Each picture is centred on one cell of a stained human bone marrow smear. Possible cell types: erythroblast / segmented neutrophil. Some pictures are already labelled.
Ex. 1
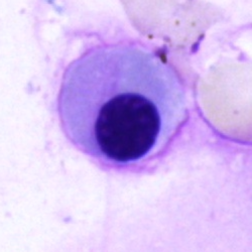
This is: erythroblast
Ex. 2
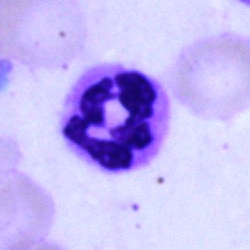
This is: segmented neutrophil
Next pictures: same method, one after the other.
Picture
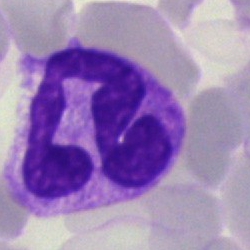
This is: segmented neutrophil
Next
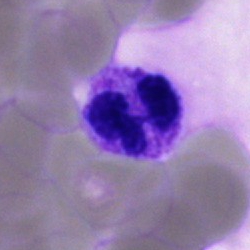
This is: segmented neutrophil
